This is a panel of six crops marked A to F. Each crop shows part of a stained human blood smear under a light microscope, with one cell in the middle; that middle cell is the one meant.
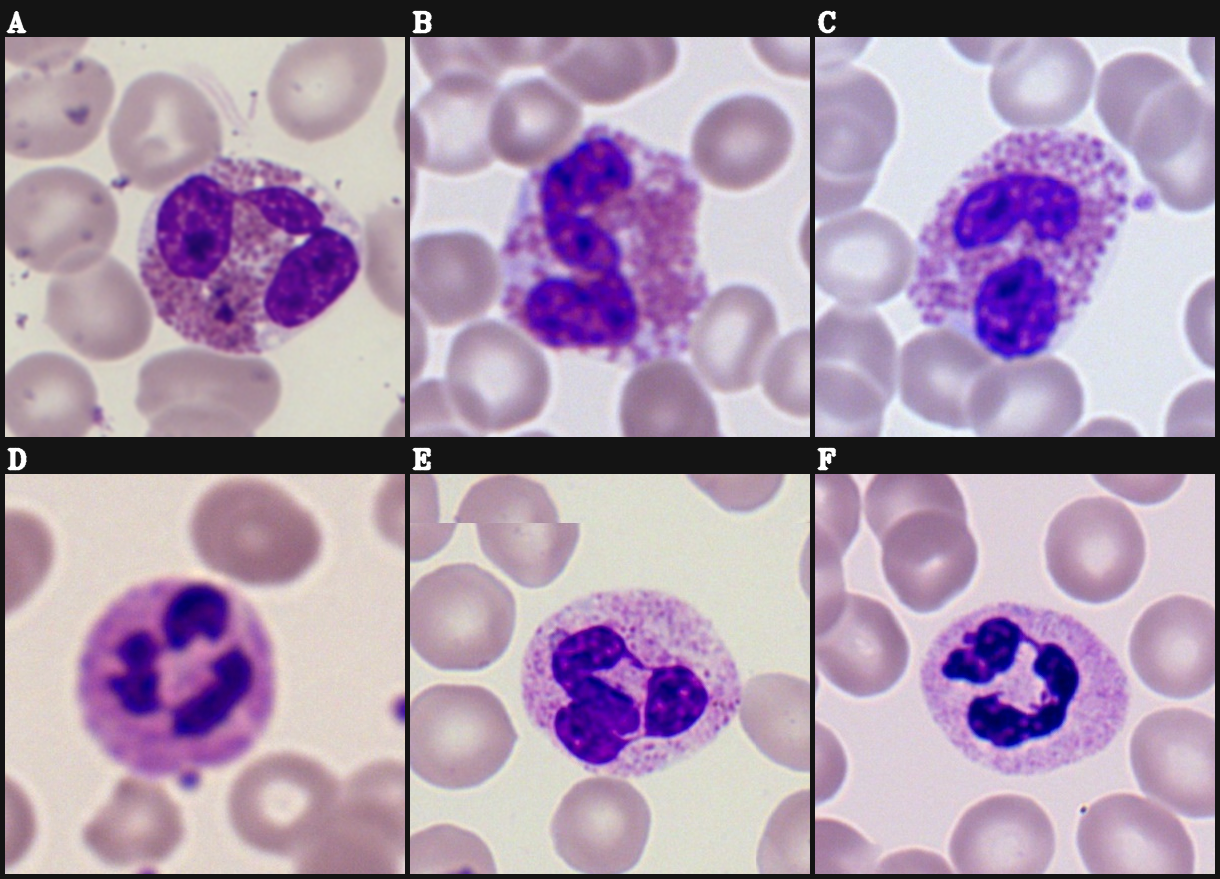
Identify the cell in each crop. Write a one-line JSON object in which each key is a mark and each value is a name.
{"A": "eosinophil", "B": "eosinophil", "C": "eosinophil", "D": "segmented neutrophil", "E": "segmented neutrophil", "F": "segmented neutrophil"}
